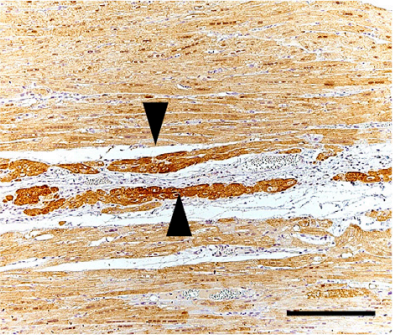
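The Purkinje cells are broad and stained darker brown than the surrounding fibres, lying in small groups. Blue nuclei dot the muscle, and clefts of pale tissue separate the bundles.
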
